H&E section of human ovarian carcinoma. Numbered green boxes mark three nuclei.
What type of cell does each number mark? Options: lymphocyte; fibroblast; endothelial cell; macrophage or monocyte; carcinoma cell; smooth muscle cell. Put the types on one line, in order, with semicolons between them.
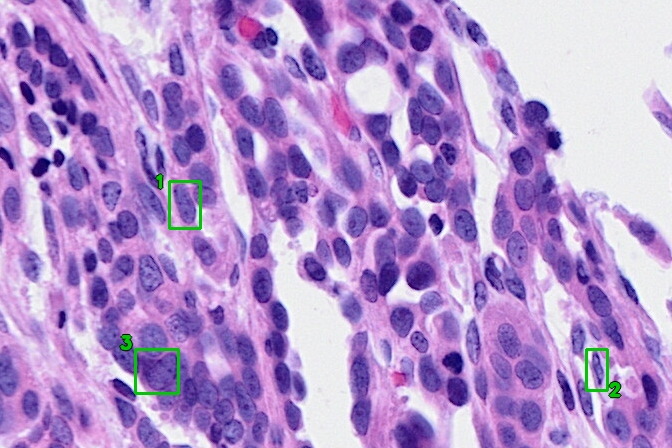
carcinoma cell; fibroblast; carcinoma cell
